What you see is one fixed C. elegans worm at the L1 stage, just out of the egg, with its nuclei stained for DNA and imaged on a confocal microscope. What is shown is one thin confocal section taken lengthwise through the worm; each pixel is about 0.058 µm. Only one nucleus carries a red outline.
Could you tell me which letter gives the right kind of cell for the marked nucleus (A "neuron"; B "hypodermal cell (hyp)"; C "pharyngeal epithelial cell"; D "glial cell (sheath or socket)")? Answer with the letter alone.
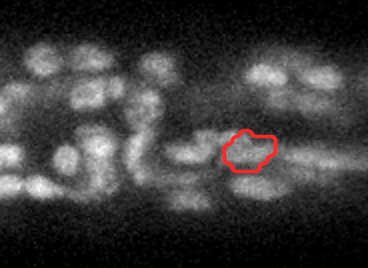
C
